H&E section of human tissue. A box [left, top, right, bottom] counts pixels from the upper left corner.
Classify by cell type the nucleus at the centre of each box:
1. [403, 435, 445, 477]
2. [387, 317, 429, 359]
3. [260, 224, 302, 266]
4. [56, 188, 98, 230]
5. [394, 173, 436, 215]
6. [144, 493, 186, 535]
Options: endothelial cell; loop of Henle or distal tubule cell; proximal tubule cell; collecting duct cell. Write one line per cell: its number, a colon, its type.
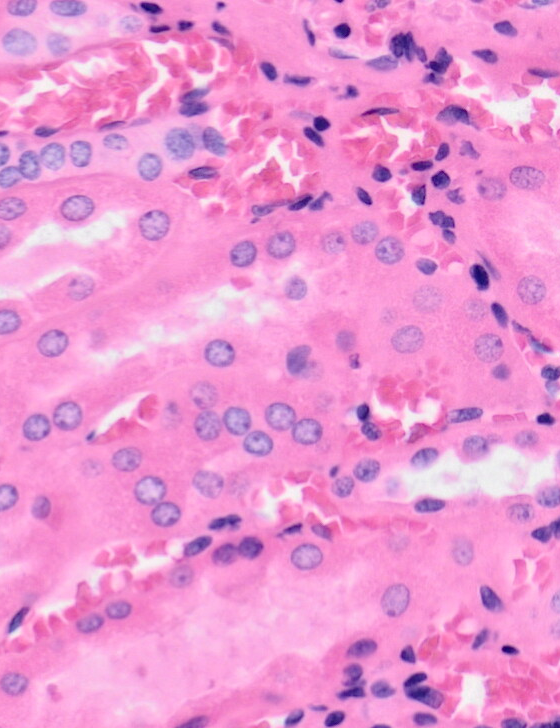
1: loop of Henle or distal tubule cell
2: proximal tubule cell
3: proximal tubule cell
4: proximal tubule cell
5: endothelial cell
6: proximal tubule cell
